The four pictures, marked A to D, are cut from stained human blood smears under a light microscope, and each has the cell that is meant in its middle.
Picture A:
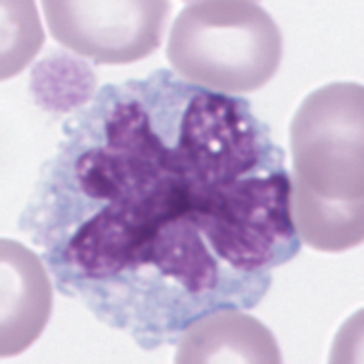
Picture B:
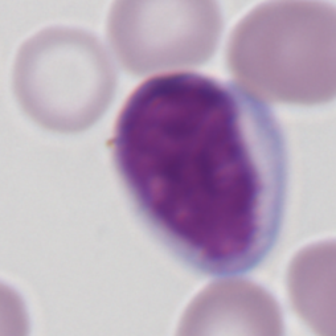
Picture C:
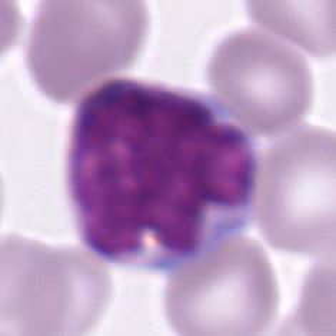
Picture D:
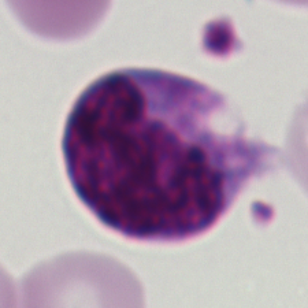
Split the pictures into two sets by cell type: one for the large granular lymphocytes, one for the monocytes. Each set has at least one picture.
A: monocyte
B: large granular lymphocyte
C: large granular lymphocyte
D: monocyte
